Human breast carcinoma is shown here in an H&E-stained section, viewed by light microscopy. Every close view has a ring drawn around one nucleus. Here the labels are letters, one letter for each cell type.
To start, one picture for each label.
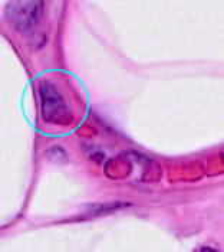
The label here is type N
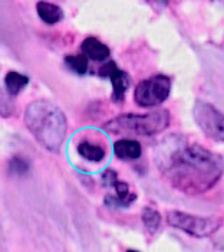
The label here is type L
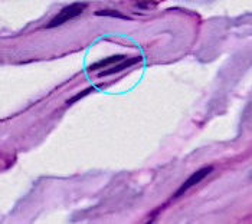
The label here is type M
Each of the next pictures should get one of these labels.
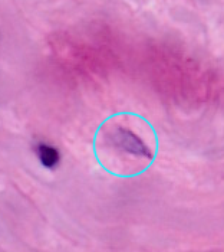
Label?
type M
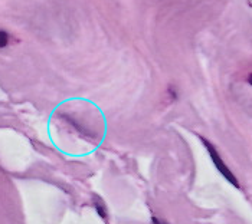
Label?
type M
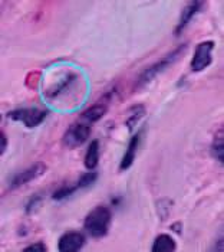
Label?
type N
